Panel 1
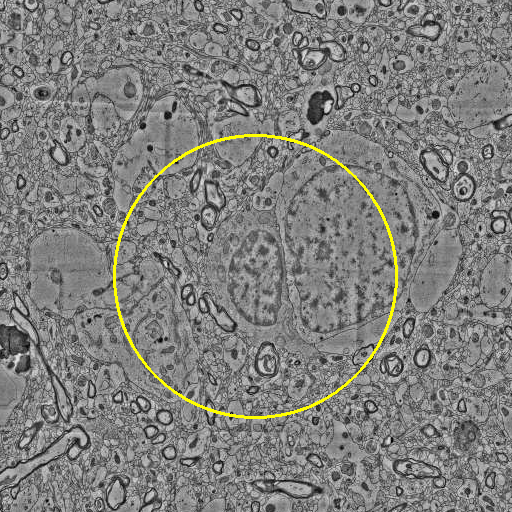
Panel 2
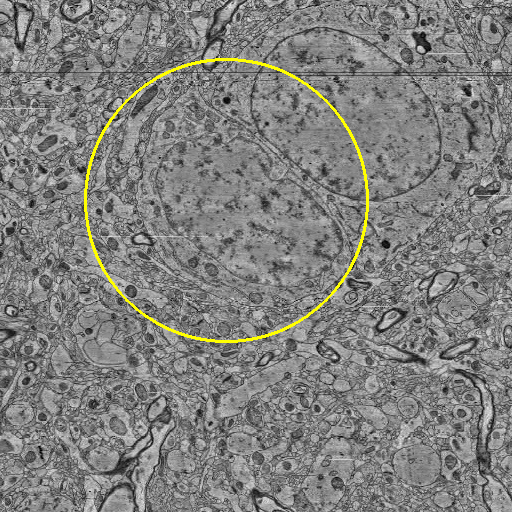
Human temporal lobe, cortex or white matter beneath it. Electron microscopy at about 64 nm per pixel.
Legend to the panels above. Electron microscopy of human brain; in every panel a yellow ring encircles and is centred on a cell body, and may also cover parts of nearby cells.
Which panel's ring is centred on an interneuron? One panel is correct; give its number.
2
